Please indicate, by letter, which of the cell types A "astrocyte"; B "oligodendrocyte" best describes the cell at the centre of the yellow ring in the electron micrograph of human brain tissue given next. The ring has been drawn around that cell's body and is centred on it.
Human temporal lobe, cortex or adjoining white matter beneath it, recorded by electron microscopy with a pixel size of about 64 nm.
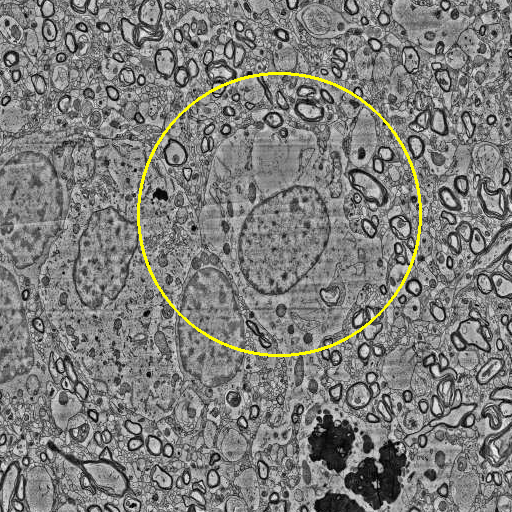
A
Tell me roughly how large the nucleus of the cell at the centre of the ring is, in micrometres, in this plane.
Roughly 7 by 5 micrometres is the size of the nucleus in this plane.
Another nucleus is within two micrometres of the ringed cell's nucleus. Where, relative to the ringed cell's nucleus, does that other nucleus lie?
That other nucleus appears to the lower left of it.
